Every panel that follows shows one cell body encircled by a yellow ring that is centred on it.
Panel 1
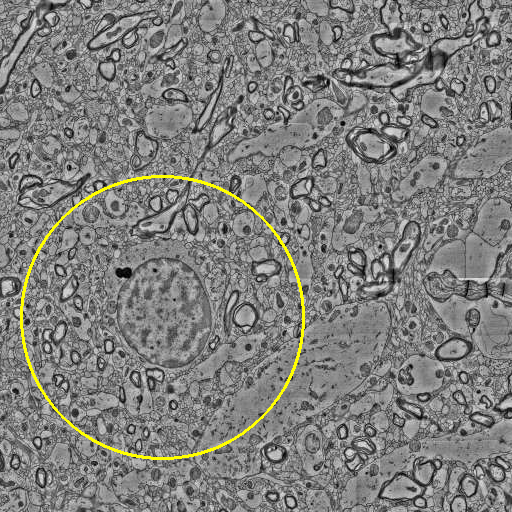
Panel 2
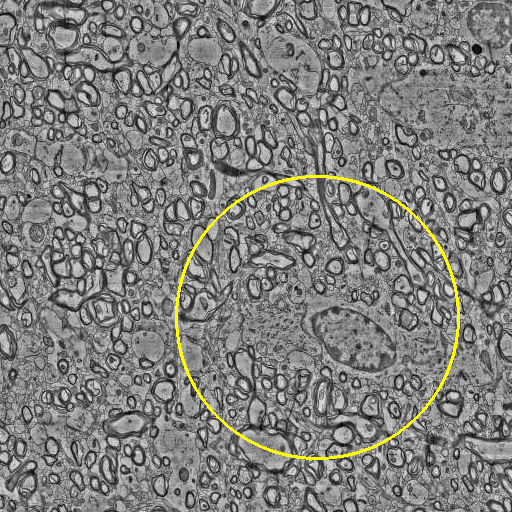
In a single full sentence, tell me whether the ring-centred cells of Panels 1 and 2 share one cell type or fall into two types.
In Panel 1 and Panel 2, the cells at the ring centres fall into two types.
